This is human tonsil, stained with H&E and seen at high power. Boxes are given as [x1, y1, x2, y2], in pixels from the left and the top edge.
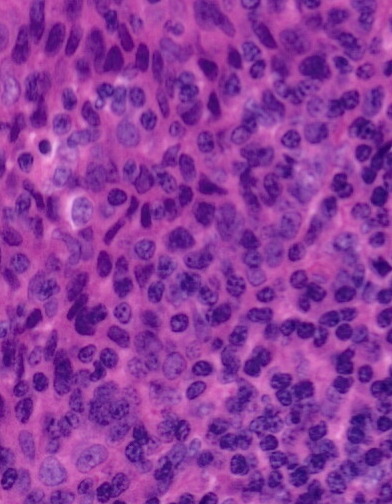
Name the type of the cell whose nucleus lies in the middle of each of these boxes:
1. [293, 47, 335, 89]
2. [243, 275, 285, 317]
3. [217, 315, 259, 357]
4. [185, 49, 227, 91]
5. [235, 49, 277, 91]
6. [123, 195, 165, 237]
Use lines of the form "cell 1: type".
cell 1: squamous epithelial cell
cell 2: plasma cell
cell 3: plasma cell
cell 4: squamous epithelial cell
cell 5: plasma cell
cell 6: squamous epithelial cell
